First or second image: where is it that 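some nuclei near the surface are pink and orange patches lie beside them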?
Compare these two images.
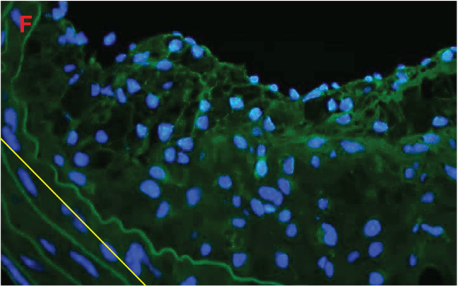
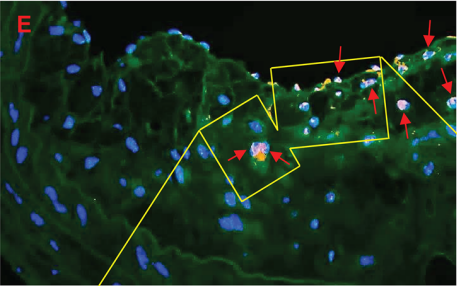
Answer: The second image.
